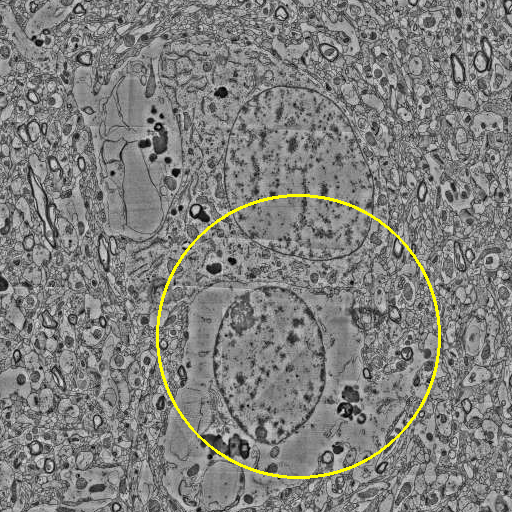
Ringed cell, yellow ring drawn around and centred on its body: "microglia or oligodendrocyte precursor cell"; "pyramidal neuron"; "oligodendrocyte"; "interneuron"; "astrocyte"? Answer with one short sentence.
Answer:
This ringed cell is an astrocyte.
